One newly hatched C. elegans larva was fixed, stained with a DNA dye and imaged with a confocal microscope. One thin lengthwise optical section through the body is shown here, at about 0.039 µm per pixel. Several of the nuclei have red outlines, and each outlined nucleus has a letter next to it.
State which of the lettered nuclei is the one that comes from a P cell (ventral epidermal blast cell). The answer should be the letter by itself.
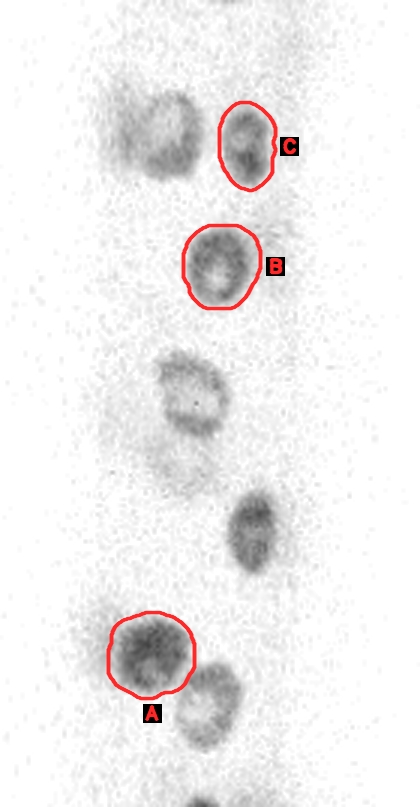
C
